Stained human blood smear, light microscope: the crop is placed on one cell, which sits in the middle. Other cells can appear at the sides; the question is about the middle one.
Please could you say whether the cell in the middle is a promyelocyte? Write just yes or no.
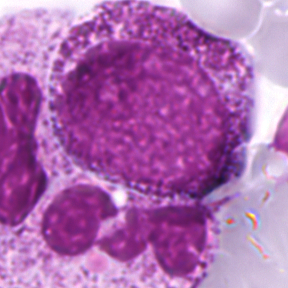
yes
